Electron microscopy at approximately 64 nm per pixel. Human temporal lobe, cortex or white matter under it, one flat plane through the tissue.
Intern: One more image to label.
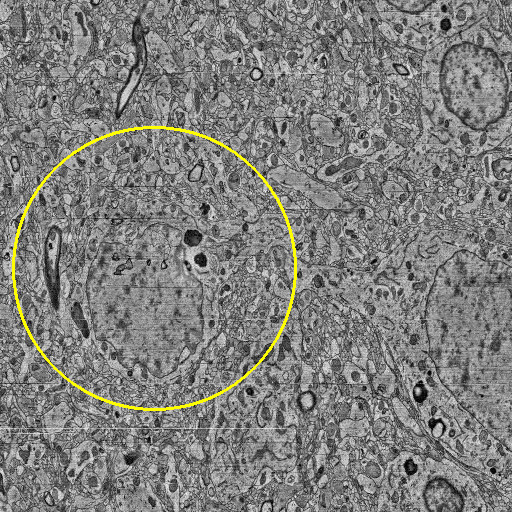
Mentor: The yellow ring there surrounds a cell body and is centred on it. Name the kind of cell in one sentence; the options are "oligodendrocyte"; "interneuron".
The ring marks the cell body of an interneuron.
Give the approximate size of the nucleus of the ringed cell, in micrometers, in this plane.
Roughly 10 micrometres by 7 micrometres, in this plane.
